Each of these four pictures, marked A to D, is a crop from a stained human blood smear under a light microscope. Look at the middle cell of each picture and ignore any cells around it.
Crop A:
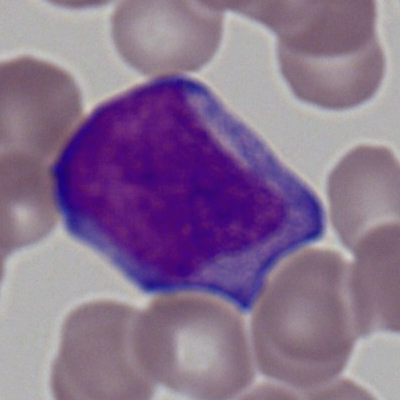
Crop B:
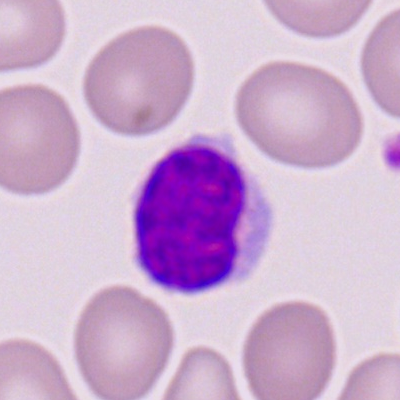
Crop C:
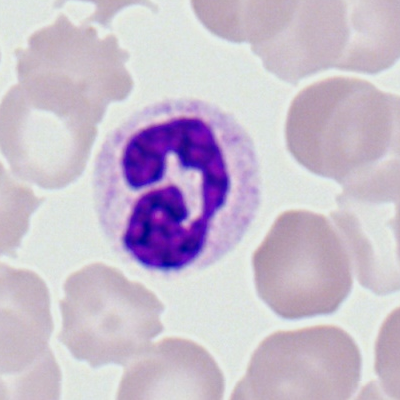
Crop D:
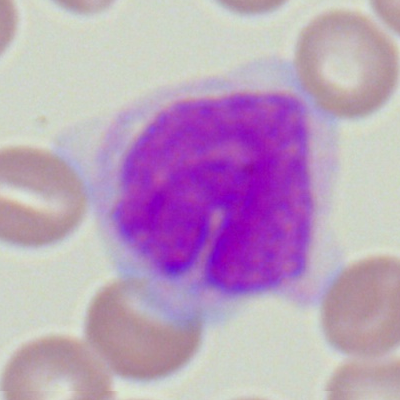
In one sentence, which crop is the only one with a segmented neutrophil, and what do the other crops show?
Depicted in crop C is a segmented neutrophil, while crop A is a myeloblast, crop B is a lymphocyte and crop D is a monocyte.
